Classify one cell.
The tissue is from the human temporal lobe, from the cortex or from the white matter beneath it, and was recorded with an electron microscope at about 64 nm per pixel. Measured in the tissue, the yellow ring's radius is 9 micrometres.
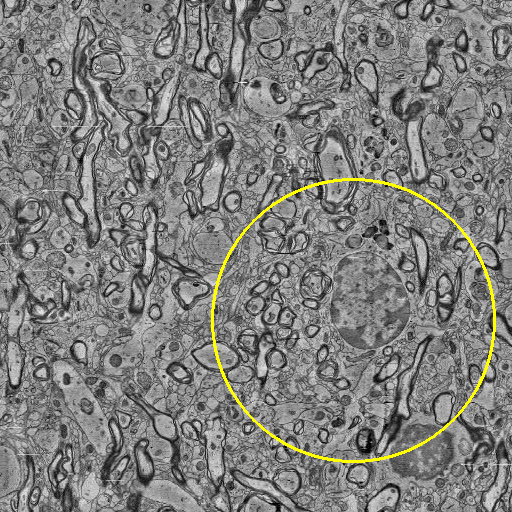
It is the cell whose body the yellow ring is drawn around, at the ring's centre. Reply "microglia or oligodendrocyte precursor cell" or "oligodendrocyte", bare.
microglia or oligodendrocyte precursor cell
